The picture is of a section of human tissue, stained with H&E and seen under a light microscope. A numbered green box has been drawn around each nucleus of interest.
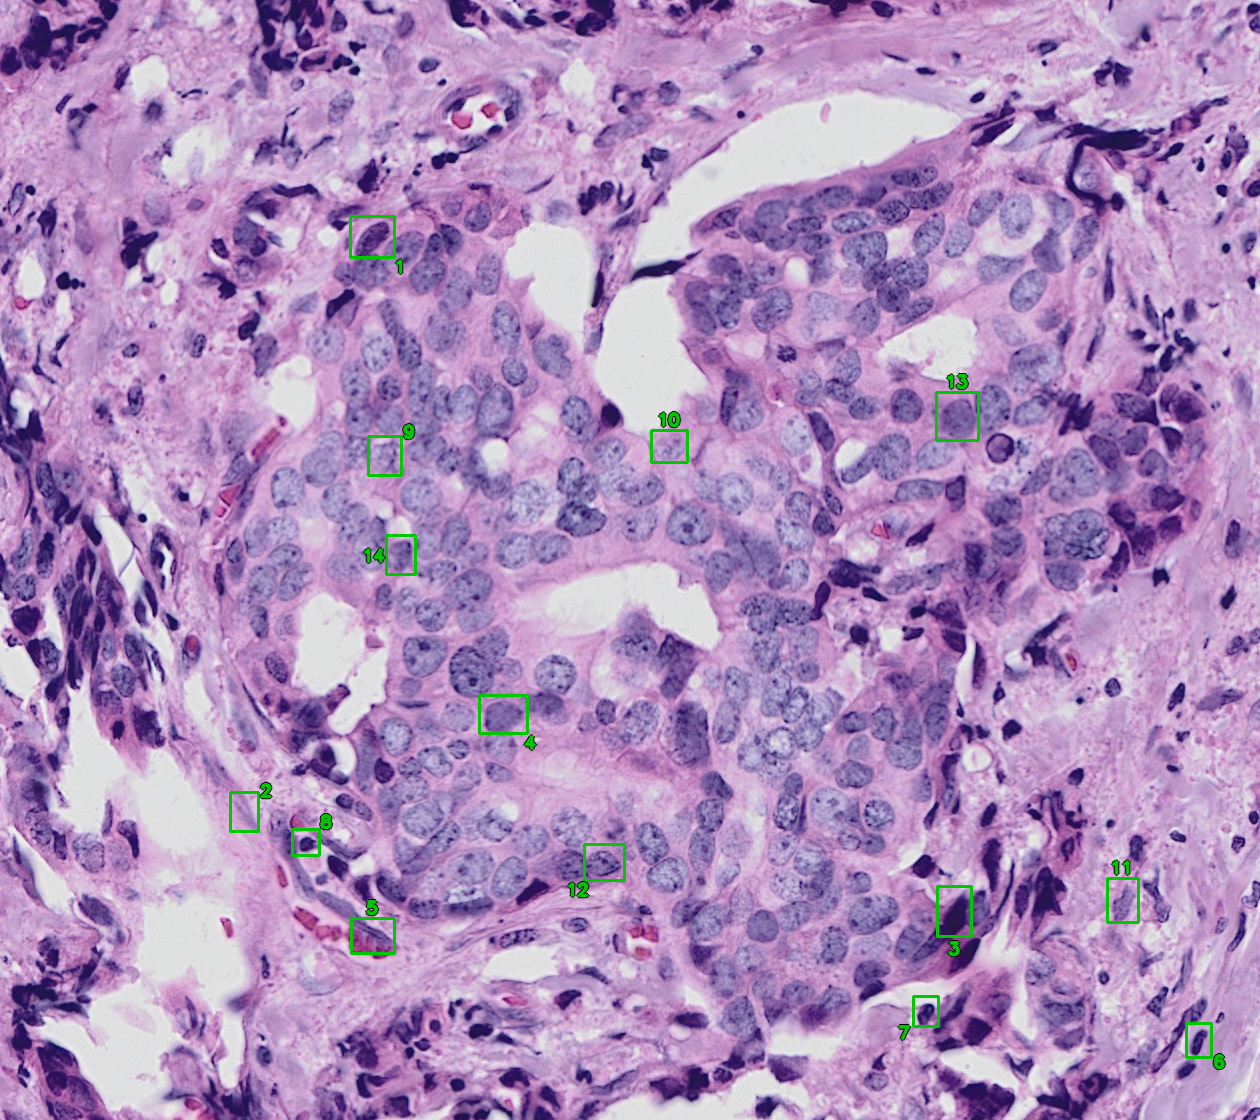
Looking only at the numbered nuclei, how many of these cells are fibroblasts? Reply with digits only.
1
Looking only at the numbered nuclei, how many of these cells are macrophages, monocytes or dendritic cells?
1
